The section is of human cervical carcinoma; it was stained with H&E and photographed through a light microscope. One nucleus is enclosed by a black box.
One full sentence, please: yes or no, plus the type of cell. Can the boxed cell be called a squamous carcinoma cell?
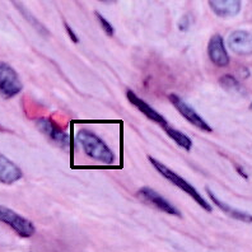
No, what the boxed cell represents is an endothelial cell rather than a squamous carcinoma cell.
